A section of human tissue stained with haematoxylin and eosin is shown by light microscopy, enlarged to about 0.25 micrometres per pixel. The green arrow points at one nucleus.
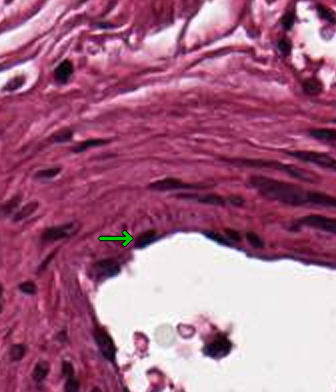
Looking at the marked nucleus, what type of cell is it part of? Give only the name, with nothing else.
endothelial cell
